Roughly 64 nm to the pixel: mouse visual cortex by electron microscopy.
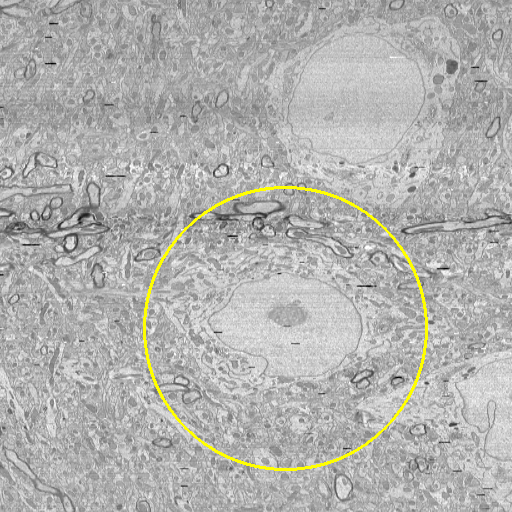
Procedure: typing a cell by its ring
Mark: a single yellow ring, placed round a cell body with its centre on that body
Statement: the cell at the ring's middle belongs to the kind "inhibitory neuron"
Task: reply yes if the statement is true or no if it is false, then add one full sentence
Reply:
Yes, this is true: the cell at the ring's centre in the picture belongs to that kind.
